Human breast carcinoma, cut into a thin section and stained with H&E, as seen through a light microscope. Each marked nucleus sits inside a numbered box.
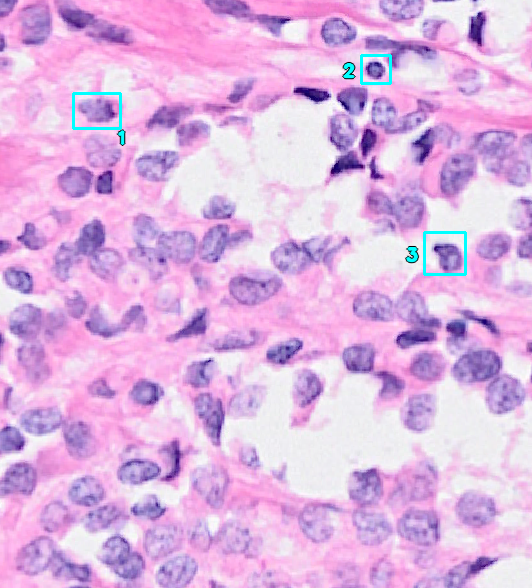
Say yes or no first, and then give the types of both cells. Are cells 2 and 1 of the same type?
No, the cell tagged 2 is a lymphocyte, whereas the cell tagged 1 is a carcinoma cell.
